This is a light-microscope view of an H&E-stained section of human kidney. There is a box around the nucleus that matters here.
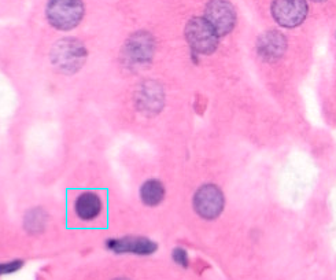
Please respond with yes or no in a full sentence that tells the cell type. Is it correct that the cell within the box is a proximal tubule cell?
Yes, the cell within the box is accurately described as a proximal tubule cell.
